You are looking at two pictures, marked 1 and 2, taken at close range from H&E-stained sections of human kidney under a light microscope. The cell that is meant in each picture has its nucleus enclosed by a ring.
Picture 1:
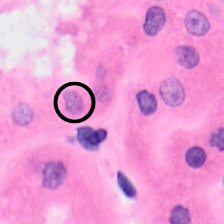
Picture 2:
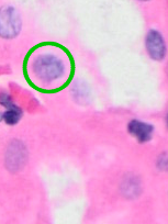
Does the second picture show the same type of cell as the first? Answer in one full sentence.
No, the types are not the same, since picture 1 shows a proximal tubule cell and picture 2 a “loop of Henle or distal tubule cell”.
